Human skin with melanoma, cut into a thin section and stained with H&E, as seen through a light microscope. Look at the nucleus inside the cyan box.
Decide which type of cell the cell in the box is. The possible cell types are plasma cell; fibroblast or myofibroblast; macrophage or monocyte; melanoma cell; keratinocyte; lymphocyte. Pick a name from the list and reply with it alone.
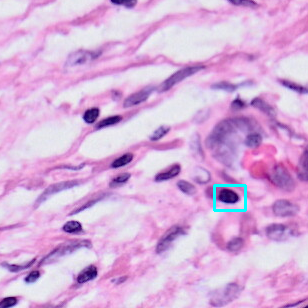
plasma cell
